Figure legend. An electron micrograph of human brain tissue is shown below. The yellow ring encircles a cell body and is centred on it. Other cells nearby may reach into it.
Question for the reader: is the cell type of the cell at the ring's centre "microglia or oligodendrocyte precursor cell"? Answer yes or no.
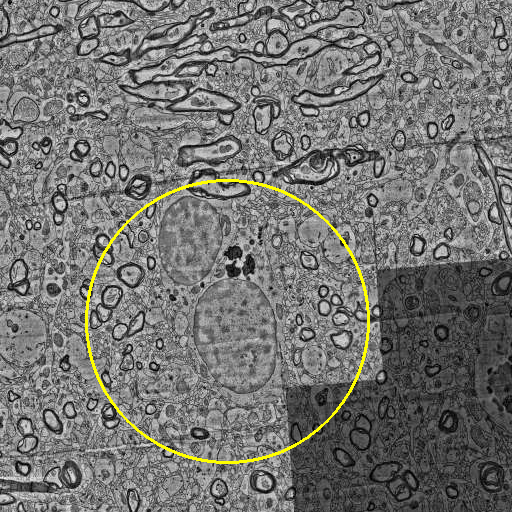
no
